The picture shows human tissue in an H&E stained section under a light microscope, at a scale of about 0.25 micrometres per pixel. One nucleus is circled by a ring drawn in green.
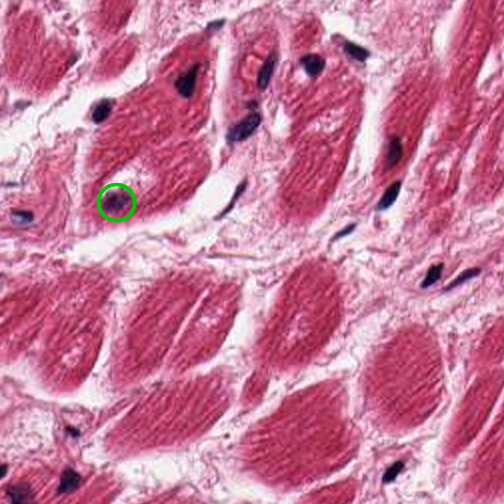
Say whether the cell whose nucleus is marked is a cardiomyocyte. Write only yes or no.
yes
